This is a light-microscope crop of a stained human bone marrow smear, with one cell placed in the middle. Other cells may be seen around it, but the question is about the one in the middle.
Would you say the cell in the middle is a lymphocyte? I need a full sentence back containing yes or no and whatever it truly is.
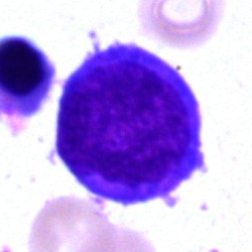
No, at the middle of the crop is a blast, not a lymphocyte.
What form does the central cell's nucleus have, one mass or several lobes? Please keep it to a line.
The nucleus is one compact mass, round, oval or kidney-shaped in outline.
